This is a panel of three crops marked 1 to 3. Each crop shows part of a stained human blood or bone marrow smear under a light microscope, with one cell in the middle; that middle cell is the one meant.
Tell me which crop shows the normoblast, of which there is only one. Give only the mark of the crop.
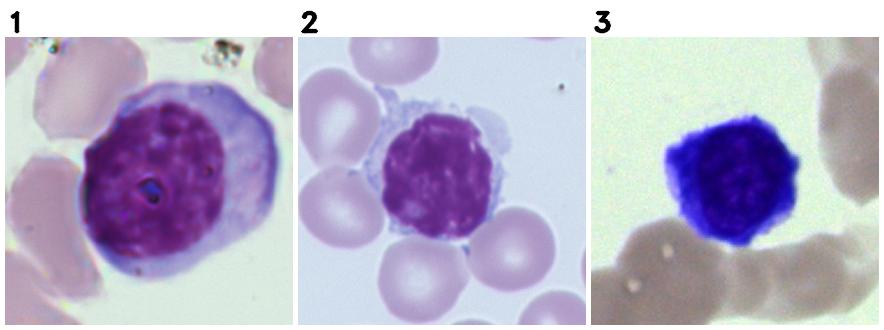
3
